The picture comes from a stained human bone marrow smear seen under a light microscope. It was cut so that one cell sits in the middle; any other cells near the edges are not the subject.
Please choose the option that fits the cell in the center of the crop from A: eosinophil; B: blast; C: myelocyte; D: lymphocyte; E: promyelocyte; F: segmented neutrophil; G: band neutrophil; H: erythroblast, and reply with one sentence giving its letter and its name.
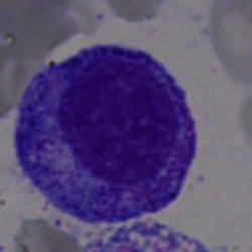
The one to choose is option E, as the cell in the middle is a promyelocyte.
